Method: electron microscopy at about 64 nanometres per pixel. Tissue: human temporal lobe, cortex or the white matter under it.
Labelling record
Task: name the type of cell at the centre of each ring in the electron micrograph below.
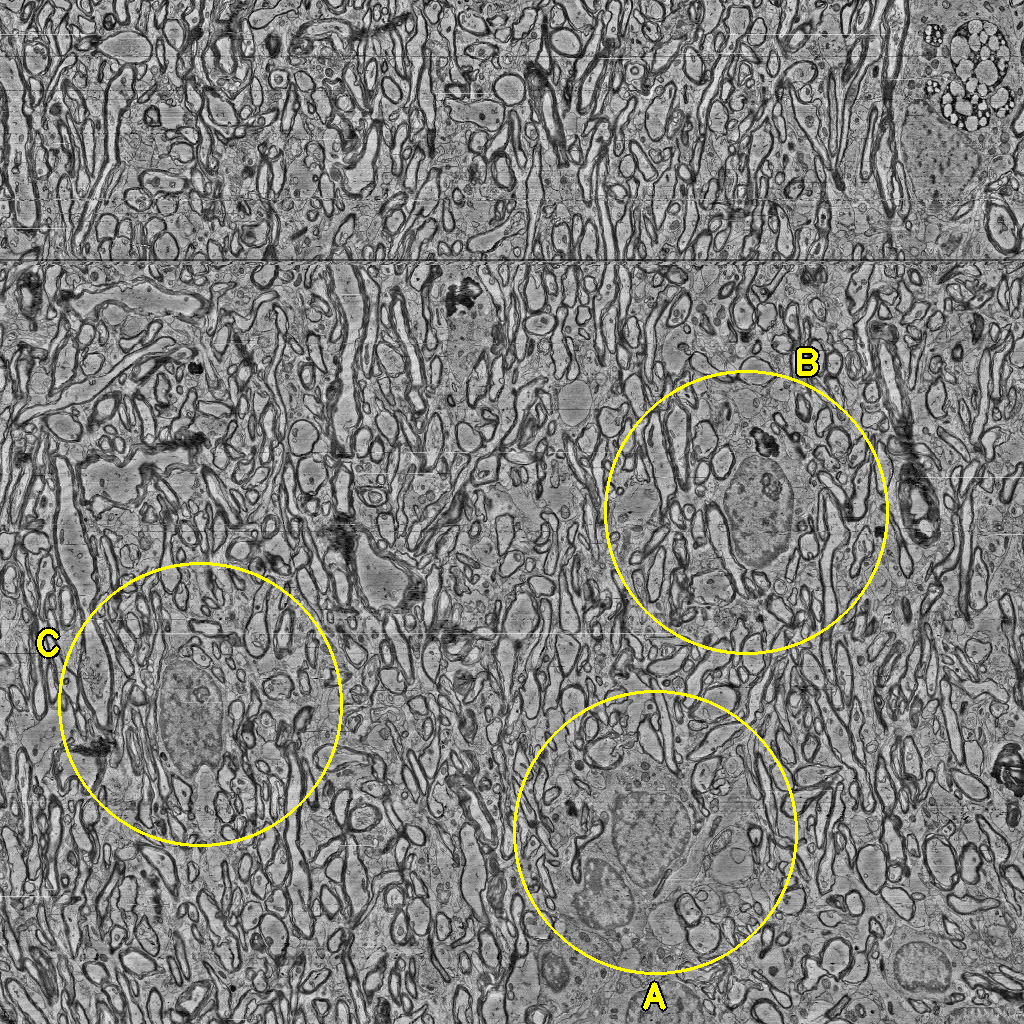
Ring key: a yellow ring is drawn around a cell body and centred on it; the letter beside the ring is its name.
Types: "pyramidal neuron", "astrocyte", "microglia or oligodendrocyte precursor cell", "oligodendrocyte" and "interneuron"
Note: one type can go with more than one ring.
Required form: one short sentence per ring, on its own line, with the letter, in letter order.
In ring A, the centred cell is an oligodendrocyte.
In ring B, the centred cell is an oligodendrocyte.
In ring C, the centred cell is an oligodendrocyte.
